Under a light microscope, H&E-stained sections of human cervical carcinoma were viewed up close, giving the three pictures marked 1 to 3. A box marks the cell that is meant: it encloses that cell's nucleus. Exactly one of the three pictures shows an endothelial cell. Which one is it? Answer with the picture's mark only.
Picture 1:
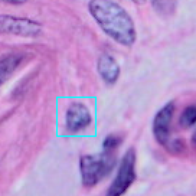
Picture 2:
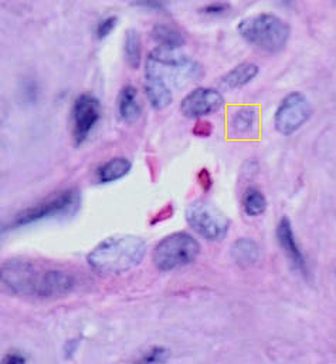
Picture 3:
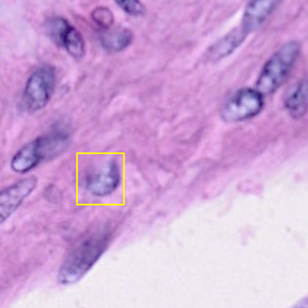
2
